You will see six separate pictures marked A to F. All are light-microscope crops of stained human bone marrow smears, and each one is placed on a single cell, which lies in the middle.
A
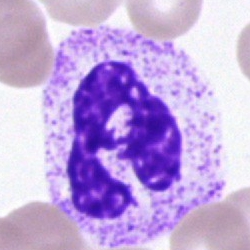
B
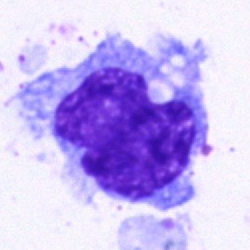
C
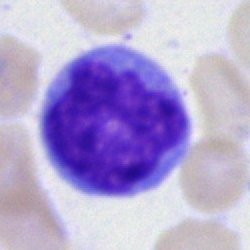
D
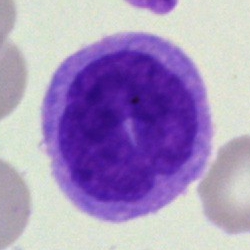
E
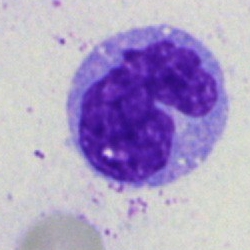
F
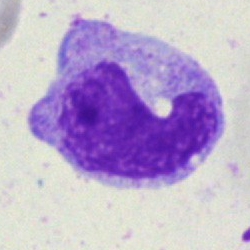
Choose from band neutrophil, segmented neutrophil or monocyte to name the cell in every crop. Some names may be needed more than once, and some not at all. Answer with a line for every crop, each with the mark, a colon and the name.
A: segmented neutrophil
B: monocyte
C: monocyte
D: monocyte
E: monocyte
F: monocyte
